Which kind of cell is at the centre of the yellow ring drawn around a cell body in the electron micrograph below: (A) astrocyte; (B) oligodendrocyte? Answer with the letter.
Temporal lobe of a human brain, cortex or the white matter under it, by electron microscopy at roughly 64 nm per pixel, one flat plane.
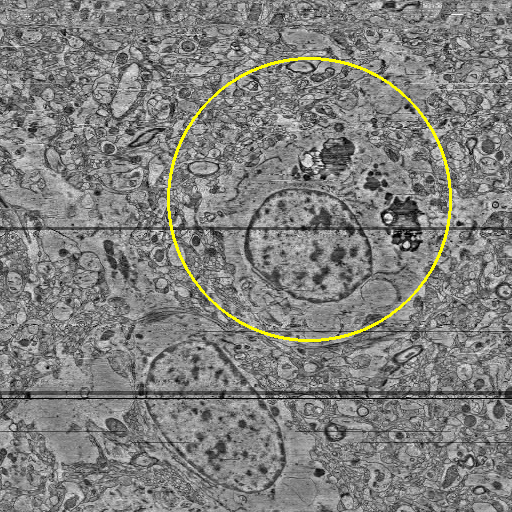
A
